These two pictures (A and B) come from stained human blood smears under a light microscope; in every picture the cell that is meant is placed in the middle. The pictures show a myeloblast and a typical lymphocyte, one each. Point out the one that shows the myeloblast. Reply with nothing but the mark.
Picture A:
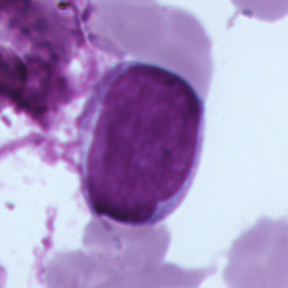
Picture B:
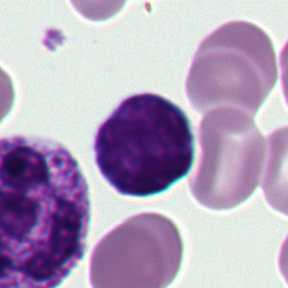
A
